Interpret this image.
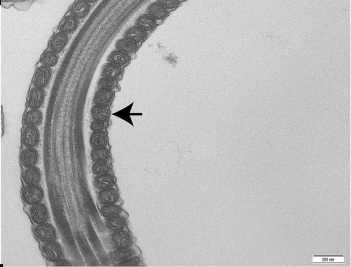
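Longitudinal section through a curved sperm tail, with a row of mitochondria lining the central fibrous core on each side. The mitochondria are small, oval and closely packed, each with a double outline and dense, regularly arranged internal membranes. The central core shows parallel longitudinal dense fibres.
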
